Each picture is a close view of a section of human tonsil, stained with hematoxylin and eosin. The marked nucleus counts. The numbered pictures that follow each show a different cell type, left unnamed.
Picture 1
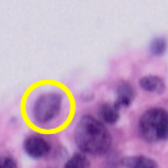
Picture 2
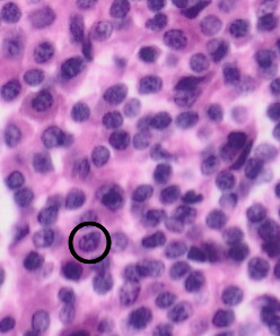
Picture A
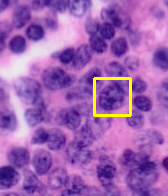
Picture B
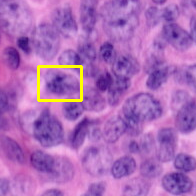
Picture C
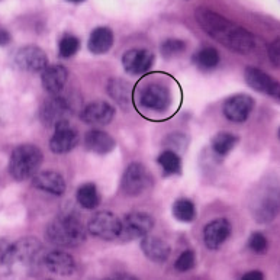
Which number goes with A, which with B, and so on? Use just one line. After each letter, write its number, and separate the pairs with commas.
A 1, B 1, C 2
